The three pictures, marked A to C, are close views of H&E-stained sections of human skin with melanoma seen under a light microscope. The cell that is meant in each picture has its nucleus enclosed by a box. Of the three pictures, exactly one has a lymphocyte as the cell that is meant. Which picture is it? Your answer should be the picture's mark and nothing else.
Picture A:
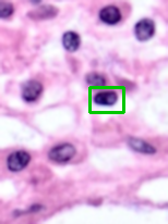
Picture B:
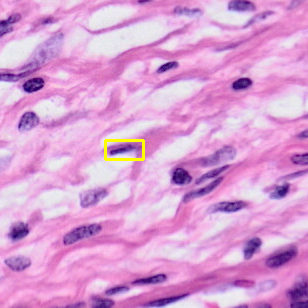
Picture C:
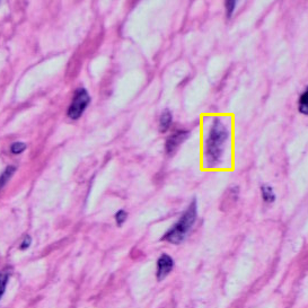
A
